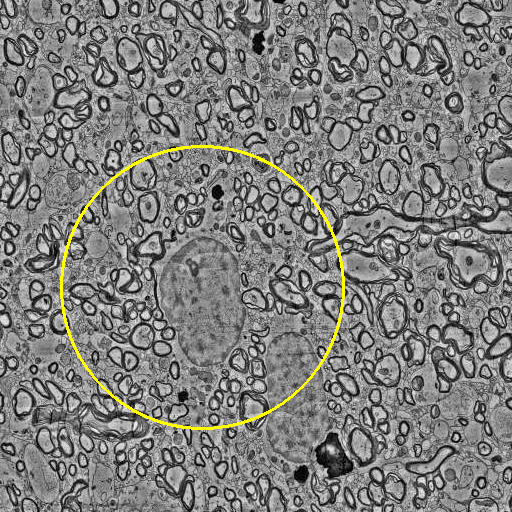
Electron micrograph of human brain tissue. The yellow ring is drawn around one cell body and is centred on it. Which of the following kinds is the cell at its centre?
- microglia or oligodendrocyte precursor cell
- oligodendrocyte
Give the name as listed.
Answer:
oligodendrocyte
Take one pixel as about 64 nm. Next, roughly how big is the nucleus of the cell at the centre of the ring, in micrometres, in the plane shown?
The nucleus has a long axis of about 8 micrometres and a short axis of about 6 micrometres in this plane.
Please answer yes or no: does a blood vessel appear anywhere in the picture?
No, no vessel appears in the picture.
